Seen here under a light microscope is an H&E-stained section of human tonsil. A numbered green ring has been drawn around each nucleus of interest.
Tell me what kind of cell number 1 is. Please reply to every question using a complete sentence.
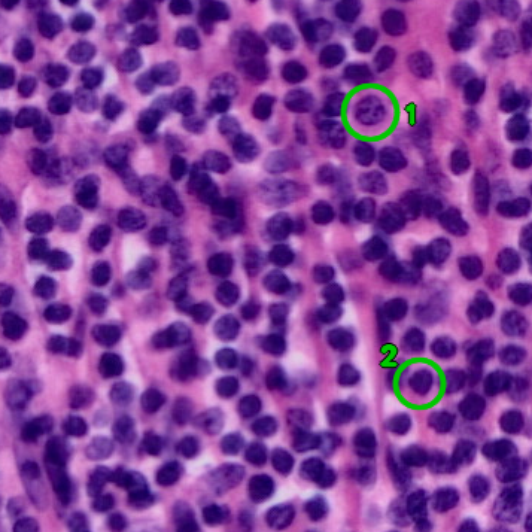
Numbered cell 1 is a plasma cell in this tissue section.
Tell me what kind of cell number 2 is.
Cell 2, among those numbered, is a small lymphocyte.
